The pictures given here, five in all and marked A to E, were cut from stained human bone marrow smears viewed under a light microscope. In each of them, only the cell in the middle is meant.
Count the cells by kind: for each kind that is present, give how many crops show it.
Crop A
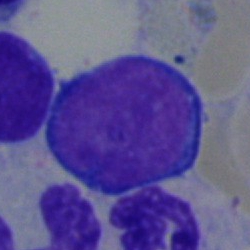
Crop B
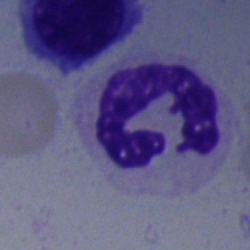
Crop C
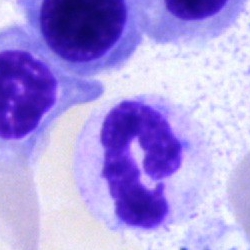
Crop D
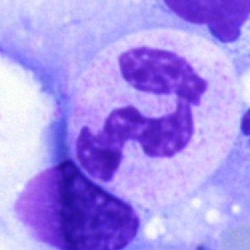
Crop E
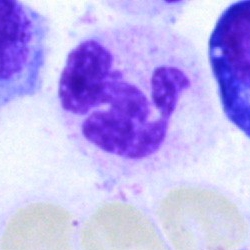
neutrophil: 4
proerythroblast: 1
